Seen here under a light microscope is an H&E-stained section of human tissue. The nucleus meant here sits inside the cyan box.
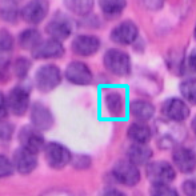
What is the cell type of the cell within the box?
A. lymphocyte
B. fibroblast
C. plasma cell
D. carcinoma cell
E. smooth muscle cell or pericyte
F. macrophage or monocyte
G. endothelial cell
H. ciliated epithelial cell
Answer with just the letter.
A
